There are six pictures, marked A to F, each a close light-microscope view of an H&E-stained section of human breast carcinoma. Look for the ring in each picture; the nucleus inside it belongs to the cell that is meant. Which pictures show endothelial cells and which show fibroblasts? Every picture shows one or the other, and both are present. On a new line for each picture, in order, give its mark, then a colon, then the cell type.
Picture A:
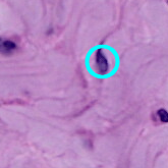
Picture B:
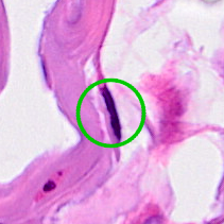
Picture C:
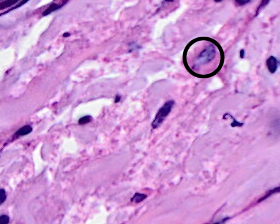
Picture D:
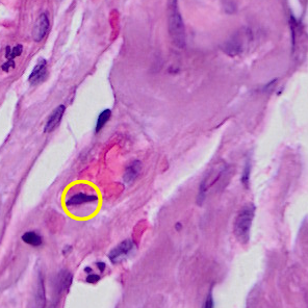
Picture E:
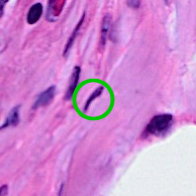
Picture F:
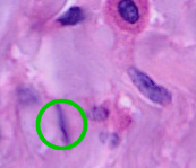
A: fibroblast
B: fibroblast
C: endothelial cell
D: endothelial cell
E: fibroblast
F: fibroblast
